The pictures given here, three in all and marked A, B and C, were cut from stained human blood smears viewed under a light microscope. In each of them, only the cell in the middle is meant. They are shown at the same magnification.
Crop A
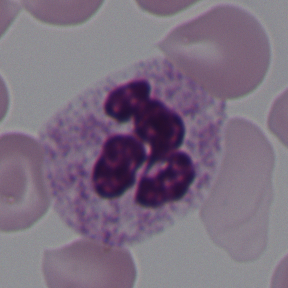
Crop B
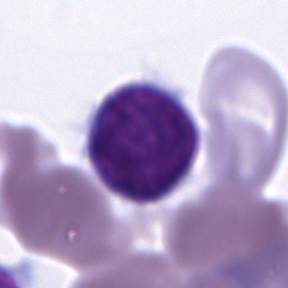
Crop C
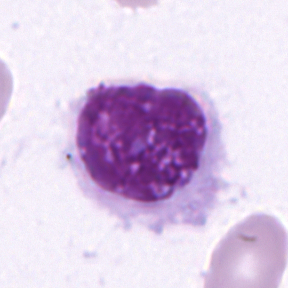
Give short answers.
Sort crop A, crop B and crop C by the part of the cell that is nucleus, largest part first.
B, C, A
